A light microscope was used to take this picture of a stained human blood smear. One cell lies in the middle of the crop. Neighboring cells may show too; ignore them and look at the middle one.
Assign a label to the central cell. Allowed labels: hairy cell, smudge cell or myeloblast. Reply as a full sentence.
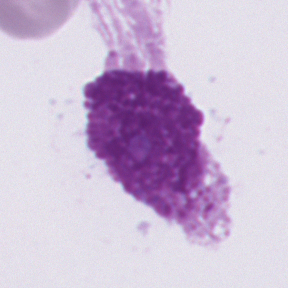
The cell at the central position in this crop is a smudge cell.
